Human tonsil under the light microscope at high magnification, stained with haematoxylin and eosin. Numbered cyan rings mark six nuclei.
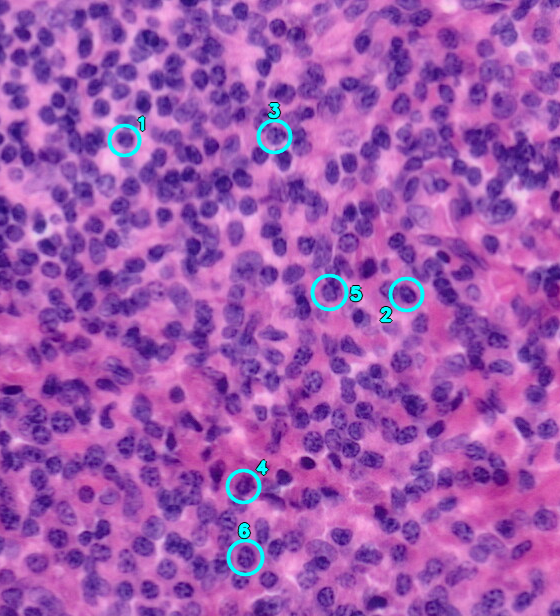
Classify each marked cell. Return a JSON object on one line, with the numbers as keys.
{"1": "small lymphocyte", "2": "plasma cell", "3": "small lymphocyte", "4": "plasma cell", "5": "plasma cell", "6": "plasma cell"}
